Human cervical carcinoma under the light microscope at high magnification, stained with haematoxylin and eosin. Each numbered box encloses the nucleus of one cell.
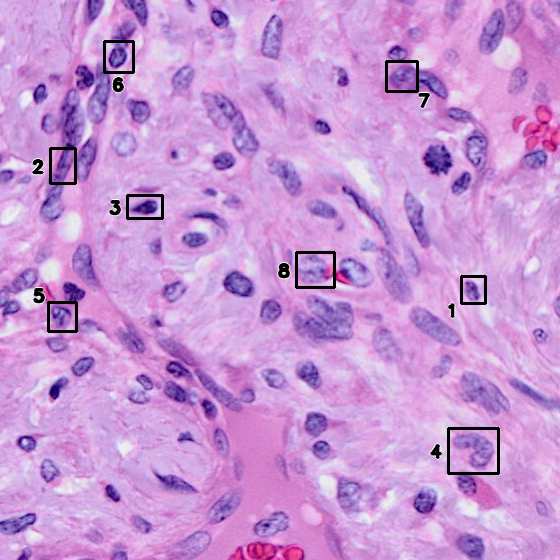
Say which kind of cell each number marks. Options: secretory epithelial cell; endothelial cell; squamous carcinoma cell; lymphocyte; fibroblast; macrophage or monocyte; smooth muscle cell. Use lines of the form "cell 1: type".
cell 1: lymphocyte
cell 2: endothelial cell
cell 3: lymphocyte
cell 4: macrophage or monocyte
cell 5: endothelial cell
cell 6: lymphocyte
cell 7: endothelial cell
cell 8: endothelial cell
